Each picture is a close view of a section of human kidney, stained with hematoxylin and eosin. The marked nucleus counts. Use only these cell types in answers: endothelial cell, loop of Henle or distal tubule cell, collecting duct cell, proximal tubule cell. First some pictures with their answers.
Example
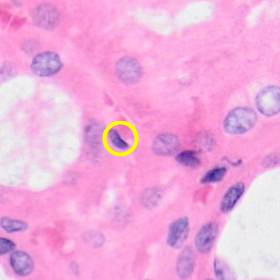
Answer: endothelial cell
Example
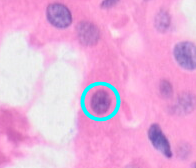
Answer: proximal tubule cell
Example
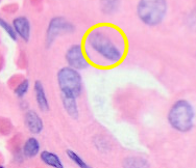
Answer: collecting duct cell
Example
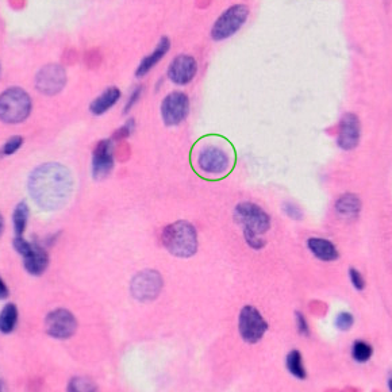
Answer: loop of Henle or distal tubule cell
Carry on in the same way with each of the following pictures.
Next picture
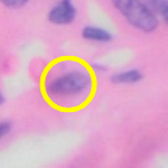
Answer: collecting duct cell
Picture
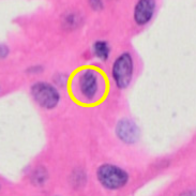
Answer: endothelial cell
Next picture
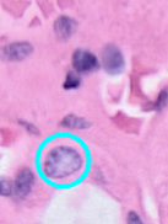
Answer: collecting duct cell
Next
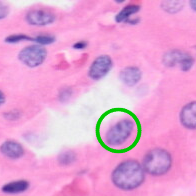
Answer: loop of Henle or distal tubule cell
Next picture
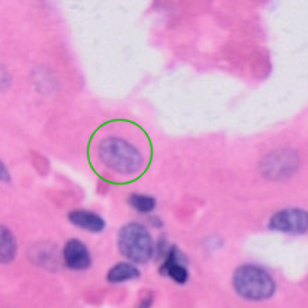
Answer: proximal tubule cell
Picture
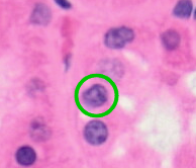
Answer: proximal tubule cell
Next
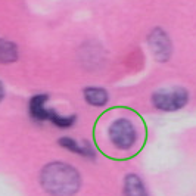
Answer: loop of Henle or distal tubule cell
